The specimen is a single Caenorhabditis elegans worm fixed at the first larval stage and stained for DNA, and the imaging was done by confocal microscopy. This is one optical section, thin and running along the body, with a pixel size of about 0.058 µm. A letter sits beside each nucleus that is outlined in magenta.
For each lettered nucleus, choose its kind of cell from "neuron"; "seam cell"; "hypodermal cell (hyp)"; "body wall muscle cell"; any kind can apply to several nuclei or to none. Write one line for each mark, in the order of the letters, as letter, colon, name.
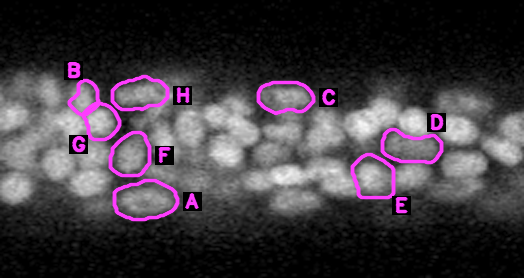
A: body wall muscle cell
B: neuron
C: body wall muscle cell
D: seam cell
E: hypodermal cell (hyp)
F: neuron
G: neuron
H: body wall muscle cell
